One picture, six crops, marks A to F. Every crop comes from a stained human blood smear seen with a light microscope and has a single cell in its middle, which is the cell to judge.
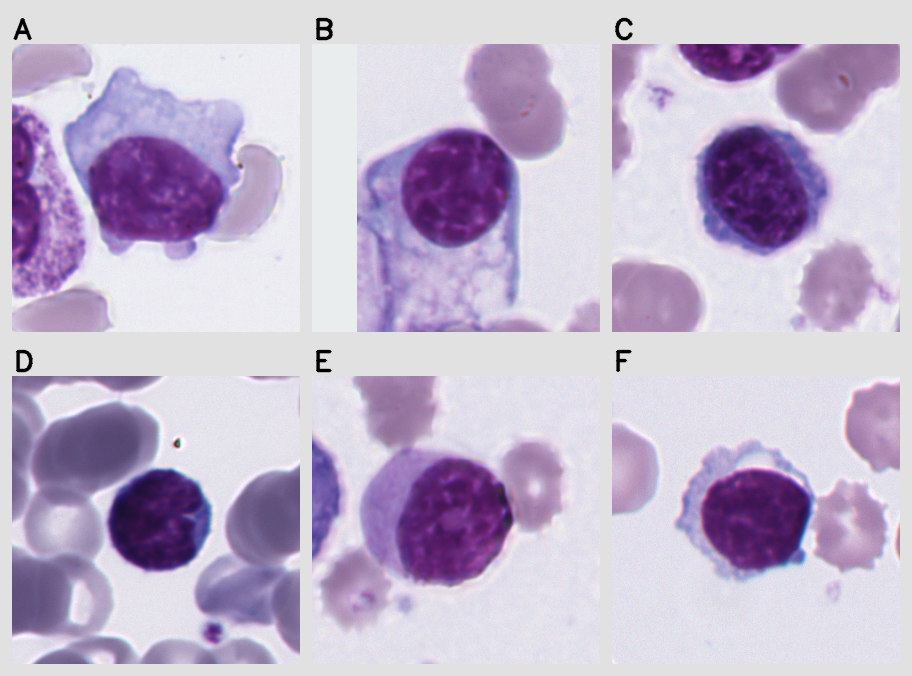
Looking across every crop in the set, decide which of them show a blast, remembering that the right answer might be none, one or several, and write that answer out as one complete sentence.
Sorry, but none of these crops shows a blast.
